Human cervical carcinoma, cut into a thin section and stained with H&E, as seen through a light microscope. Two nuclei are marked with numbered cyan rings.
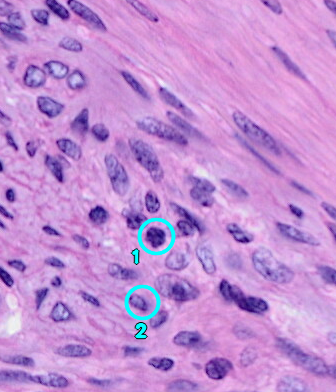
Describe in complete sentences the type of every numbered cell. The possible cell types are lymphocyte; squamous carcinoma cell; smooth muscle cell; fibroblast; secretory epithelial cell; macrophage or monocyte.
Cell 1 is a lymphocyte and cell 2 is a smooth muscle cell.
